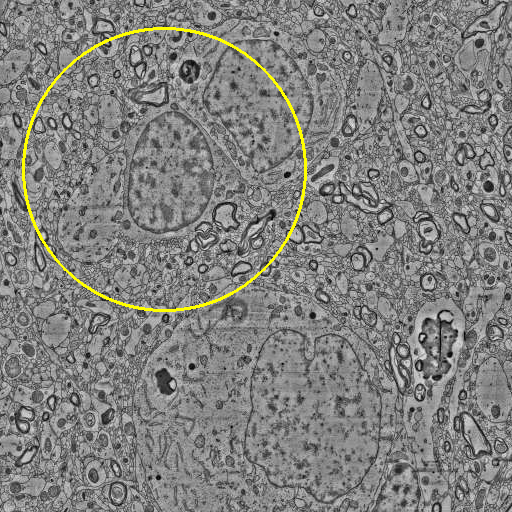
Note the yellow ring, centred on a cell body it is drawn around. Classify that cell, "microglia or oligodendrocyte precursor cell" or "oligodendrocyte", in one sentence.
The cell the ring is centred on is an oligodendrocyte.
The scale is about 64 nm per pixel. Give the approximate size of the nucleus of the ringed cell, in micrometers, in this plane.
The nucleus appears roughly 8 by 5 micrometres in this plane.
